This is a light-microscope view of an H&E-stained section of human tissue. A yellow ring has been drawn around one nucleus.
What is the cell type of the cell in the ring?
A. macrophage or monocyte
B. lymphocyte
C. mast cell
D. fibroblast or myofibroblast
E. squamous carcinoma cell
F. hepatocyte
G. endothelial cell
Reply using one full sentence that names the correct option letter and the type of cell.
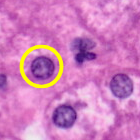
Looking at the options, pick F; the cell in the ring is a hepatocyte.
